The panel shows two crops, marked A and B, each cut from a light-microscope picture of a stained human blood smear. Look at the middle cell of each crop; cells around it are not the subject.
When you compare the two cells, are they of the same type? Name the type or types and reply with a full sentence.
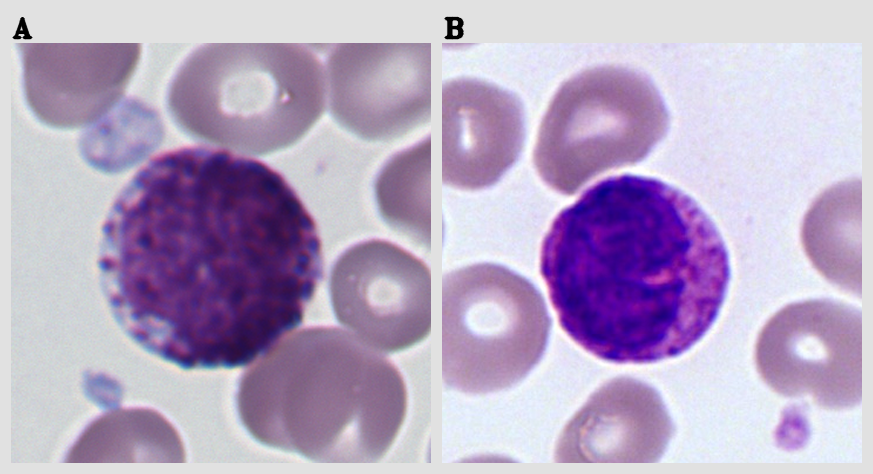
Yes, both crops show basophils, and the two match.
